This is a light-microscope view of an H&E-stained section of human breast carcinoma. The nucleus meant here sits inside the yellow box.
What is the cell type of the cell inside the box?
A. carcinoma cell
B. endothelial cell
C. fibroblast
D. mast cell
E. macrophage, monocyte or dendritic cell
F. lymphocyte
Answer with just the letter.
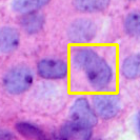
A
